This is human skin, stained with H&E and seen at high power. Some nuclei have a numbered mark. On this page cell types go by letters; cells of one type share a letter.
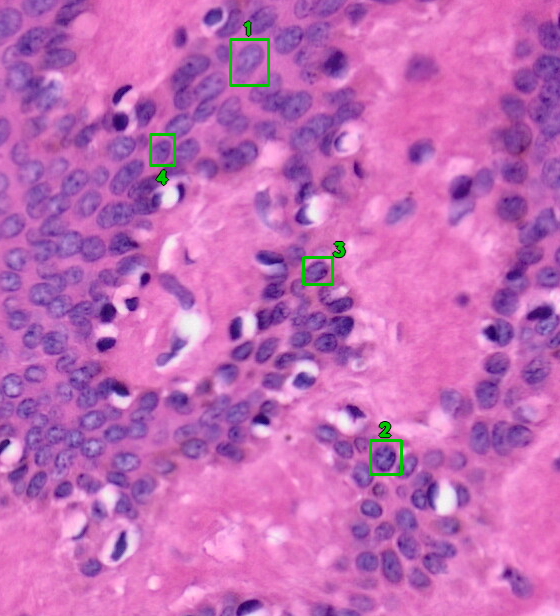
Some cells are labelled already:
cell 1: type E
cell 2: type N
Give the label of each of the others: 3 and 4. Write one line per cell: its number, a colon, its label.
3: type N
4: type N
